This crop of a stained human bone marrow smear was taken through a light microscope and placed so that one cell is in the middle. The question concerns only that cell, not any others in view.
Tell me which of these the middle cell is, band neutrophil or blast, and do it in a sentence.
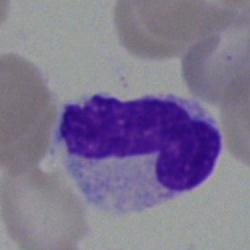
Classified as a band neutrophil is the cell in the middle of this crop.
